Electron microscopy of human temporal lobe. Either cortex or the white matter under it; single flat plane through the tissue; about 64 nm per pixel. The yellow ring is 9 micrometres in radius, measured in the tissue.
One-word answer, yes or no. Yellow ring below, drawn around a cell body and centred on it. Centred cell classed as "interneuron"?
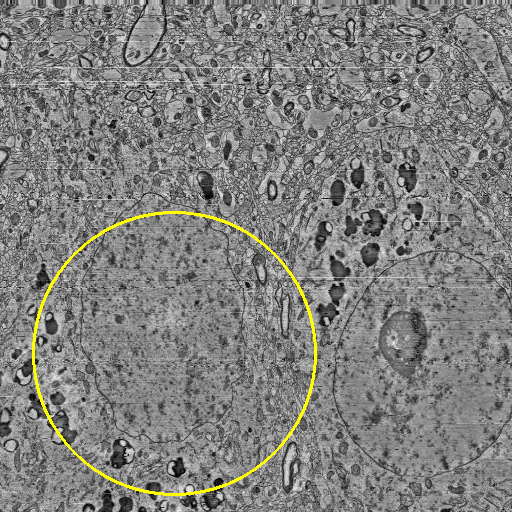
no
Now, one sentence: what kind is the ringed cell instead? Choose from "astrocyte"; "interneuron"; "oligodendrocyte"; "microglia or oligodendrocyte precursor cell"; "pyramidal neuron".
The answer is that the ringed cell is a pyramidal neuron.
